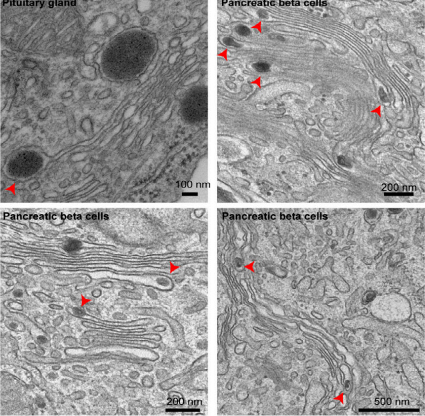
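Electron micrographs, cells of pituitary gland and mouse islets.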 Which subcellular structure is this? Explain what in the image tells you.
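Stacks of parallel flattened membrane cisternae. Many small vesicles cluster around the ends of the stacks.
Answer: Golgi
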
